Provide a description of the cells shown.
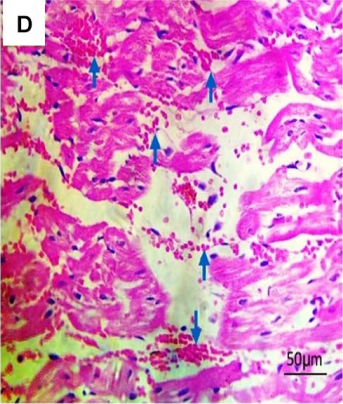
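This is heart muscle whose fibres are broken up into irregular pink fragments. Wide clear spaces run between them, and these are filled with many small red anucleate blood cells lying outside vessels. The fibres have lost their orderly parallel arrangement and look torn apart by the blood.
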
